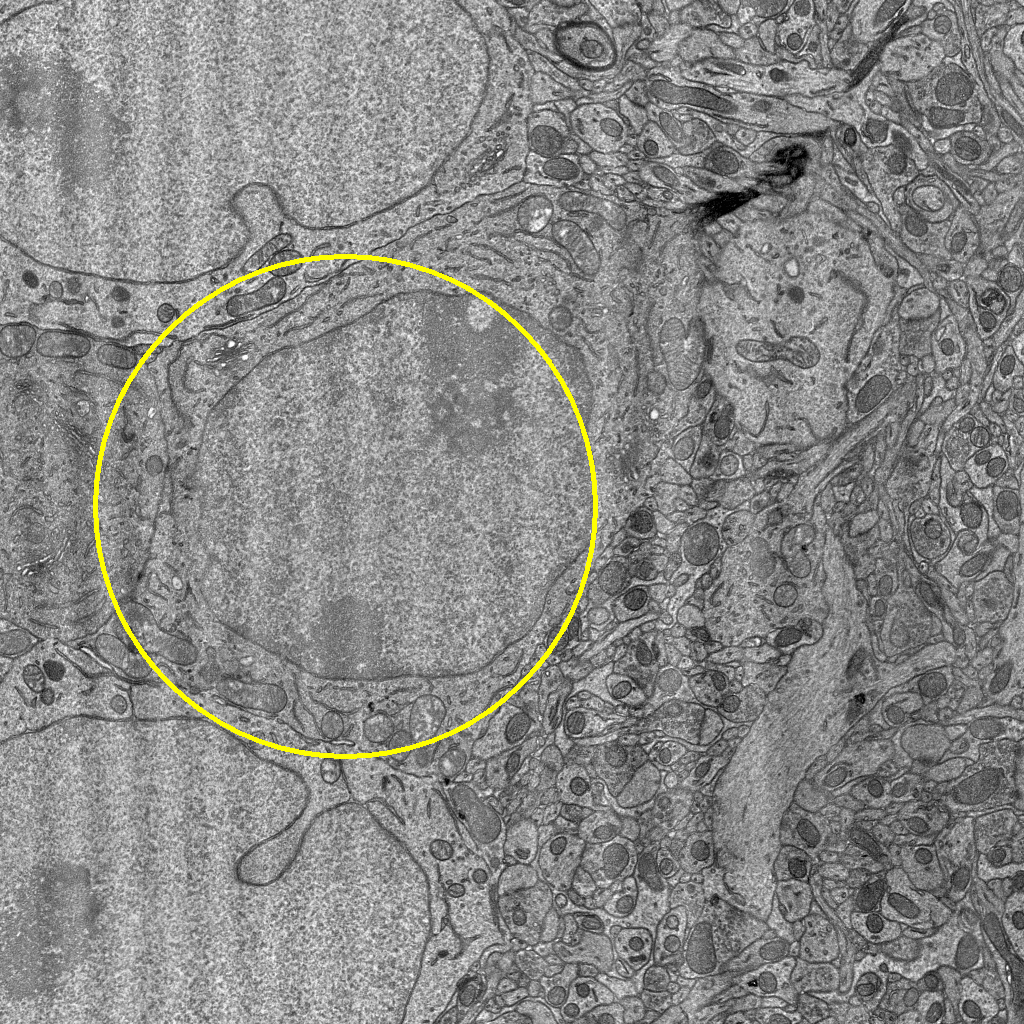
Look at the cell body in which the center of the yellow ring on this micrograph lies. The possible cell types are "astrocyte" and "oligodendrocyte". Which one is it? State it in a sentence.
The cell at the middle of the ring is an oligodendrocyte.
